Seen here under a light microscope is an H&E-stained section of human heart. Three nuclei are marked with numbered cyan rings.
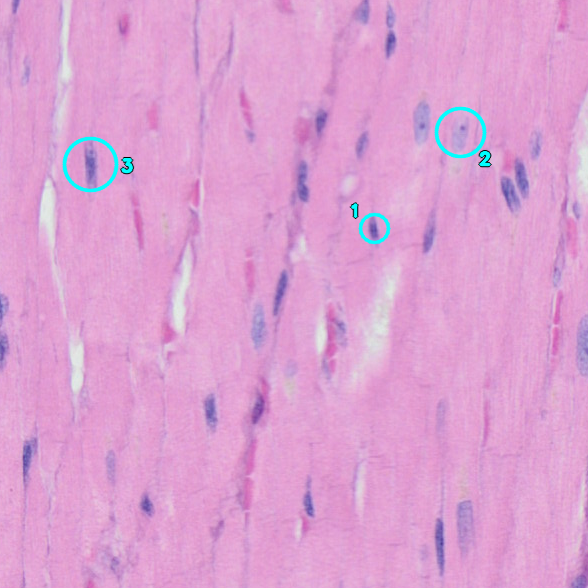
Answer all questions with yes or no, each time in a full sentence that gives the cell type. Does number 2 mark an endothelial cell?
No, at number 2 sits a cardiomyocyte, not an endothelial cell.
